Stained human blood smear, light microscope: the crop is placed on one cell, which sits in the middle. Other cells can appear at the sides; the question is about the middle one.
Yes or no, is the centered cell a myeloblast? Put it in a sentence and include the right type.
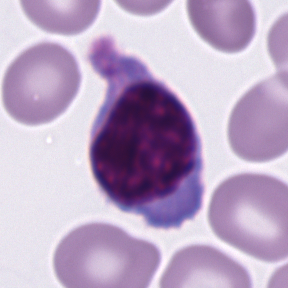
No, in this crop the central cell is a typical lymphocyte instead of a myeloblast.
